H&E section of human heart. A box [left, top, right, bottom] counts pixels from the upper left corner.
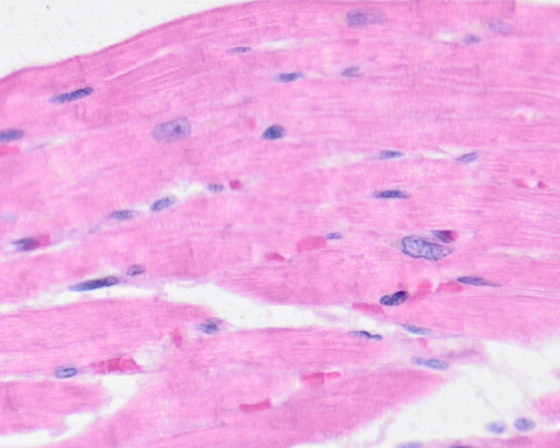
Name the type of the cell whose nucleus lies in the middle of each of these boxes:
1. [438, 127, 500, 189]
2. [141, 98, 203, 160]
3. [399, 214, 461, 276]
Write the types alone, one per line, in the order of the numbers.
endothelial cell
cardiomyocyte
cardiomyocyte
